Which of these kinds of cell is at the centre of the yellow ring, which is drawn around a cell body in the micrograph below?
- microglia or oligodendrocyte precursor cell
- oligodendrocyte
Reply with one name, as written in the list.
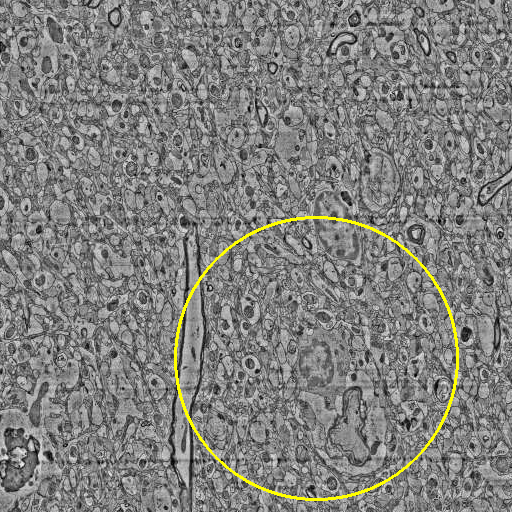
oligodendrocyte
